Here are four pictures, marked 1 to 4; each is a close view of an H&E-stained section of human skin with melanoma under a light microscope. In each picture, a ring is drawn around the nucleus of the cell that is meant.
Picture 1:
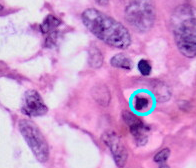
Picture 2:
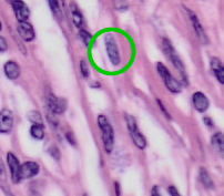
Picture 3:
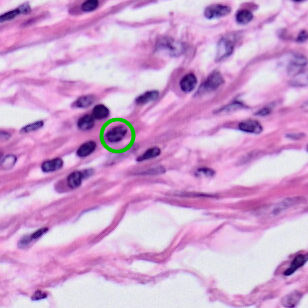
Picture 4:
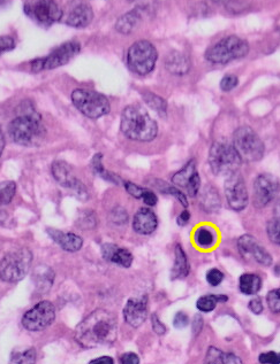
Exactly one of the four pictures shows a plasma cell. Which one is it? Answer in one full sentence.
Picture 3 is the one that shows the plasma cell.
